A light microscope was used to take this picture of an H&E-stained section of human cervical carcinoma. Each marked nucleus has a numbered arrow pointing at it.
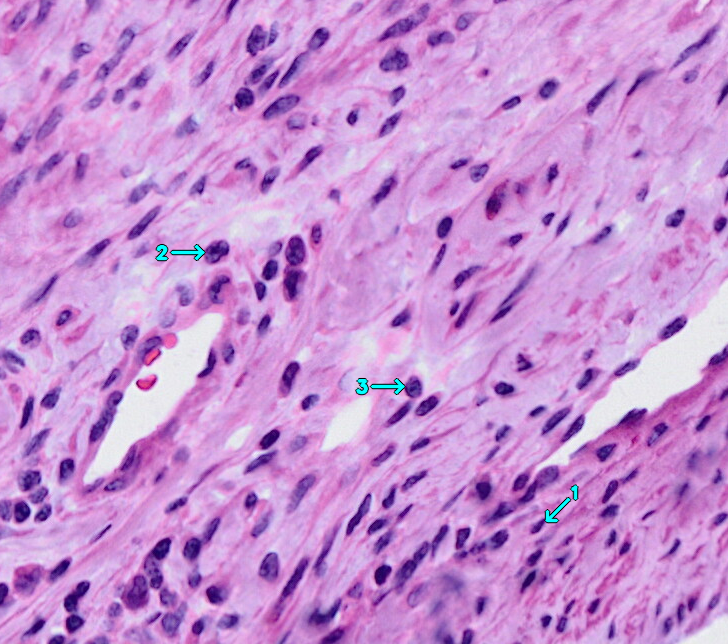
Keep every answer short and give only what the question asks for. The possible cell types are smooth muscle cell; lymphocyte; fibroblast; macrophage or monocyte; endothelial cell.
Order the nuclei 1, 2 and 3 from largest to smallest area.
2, 3, 1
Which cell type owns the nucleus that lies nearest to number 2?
endothelial cell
